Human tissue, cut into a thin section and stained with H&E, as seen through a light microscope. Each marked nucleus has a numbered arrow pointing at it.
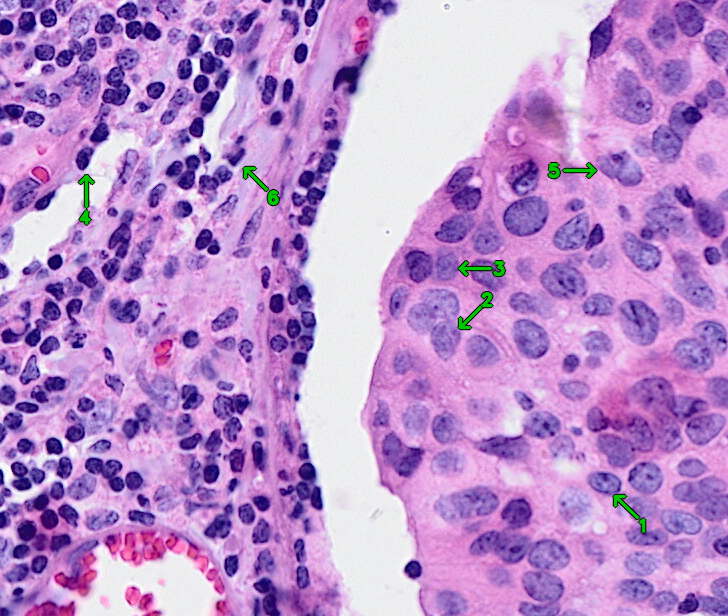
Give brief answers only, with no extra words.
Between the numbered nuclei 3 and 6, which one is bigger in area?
3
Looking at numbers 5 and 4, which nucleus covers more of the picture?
5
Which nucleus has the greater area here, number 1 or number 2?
2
